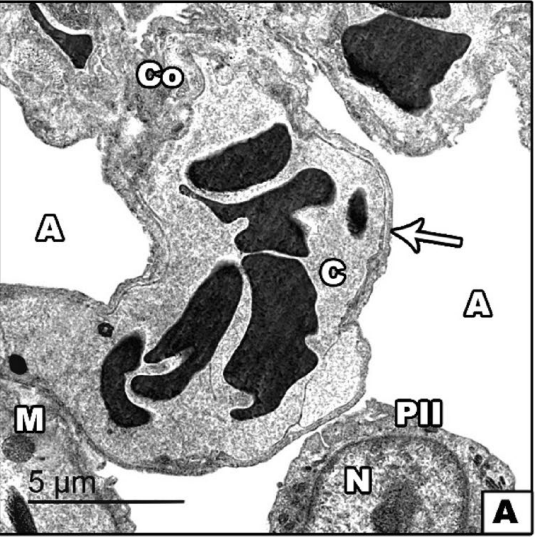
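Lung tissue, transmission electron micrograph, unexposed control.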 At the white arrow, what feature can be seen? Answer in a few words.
thin alveolar wall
